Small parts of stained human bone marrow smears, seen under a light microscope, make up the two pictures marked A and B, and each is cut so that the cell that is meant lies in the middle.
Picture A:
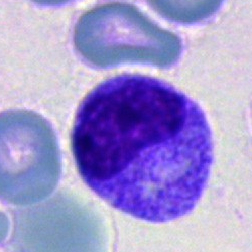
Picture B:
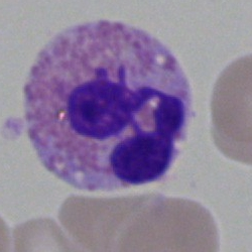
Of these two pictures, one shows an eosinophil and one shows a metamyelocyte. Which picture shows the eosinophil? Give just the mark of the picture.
B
